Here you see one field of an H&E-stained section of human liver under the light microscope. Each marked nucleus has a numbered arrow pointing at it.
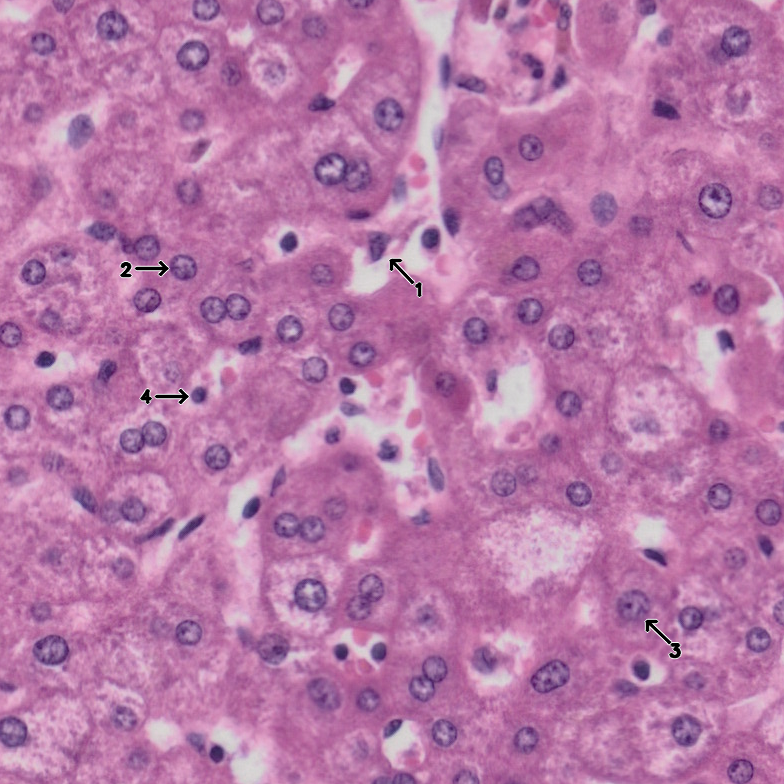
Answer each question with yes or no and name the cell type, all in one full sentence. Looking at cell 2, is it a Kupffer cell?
No, calling cell 2 a Kupffer cell is a mistake; it is a hepatocyte.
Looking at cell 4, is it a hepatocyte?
No, the cell tagged 4 is a lymphocyte, not a hepatocyte.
